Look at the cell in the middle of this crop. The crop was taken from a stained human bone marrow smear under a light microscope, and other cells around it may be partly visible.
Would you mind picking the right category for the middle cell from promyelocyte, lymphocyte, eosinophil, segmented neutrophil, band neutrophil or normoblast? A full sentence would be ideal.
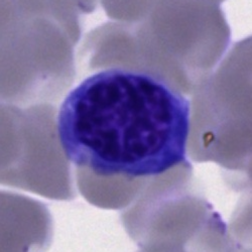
The cell at the centre of the field is a normoblast.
